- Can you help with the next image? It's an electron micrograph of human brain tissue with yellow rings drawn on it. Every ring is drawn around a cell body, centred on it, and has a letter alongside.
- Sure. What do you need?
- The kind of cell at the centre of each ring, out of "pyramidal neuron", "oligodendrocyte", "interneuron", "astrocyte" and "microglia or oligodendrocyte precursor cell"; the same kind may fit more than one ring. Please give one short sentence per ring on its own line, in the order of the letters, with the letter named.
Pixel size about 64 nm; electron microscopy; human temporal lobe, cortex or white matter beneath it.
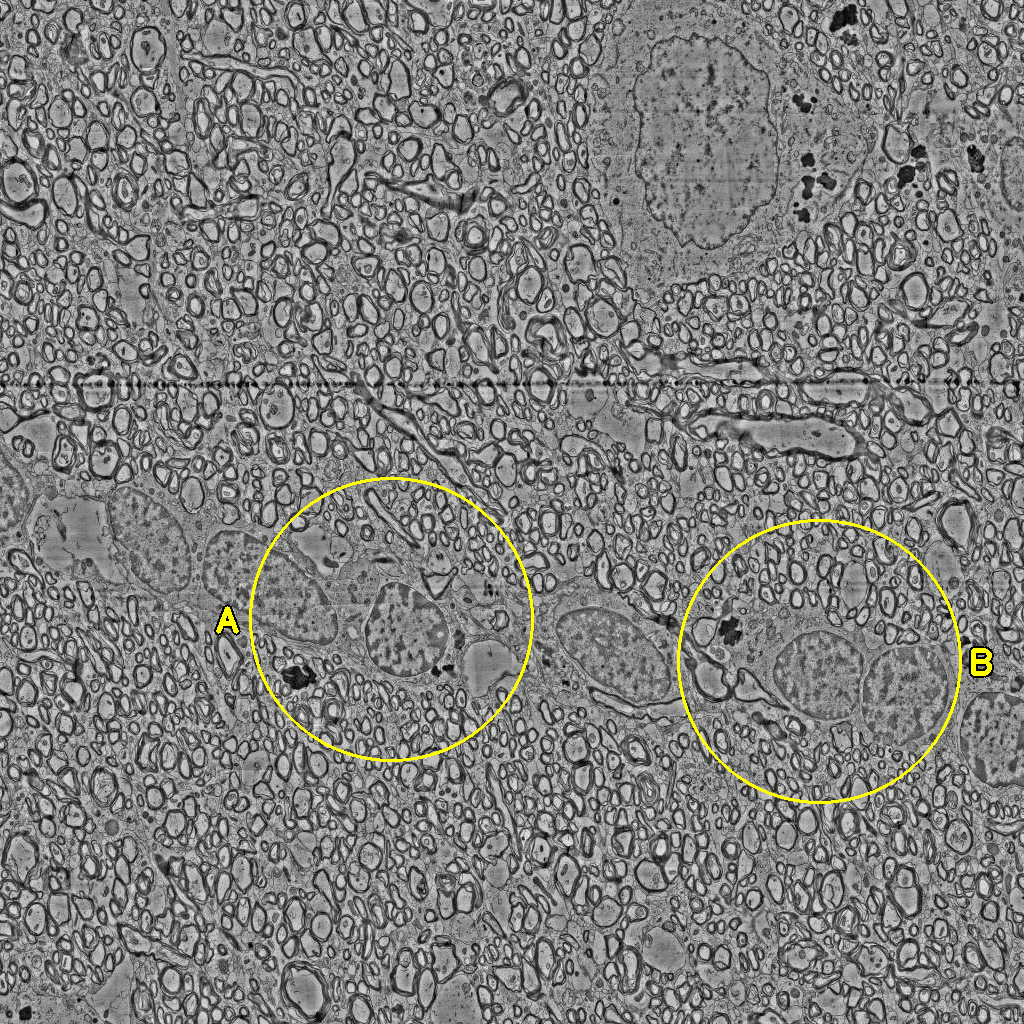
Ring A picks out a microglial cell or oligodendrocyte precursor cell.
Ring B picks out an oligodendrocyte.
